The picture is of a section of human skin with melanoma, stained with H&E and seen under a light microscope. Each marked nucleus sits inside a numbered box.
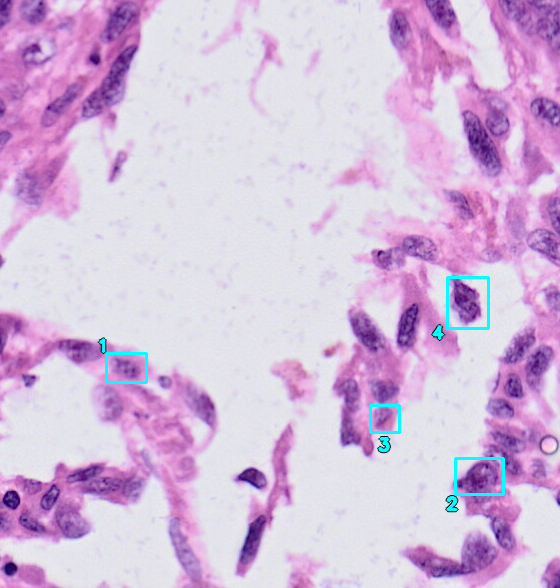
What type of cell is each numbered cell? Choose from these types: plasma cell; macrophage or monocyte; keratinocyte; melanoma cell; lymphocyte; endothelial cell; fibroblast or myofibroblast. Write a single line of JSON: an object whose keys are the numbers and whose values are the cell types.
{"1": "melanoma cell", "2": "melanoma cell", "3": "macrophage or monocyte", "4": "melanoma cell"}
